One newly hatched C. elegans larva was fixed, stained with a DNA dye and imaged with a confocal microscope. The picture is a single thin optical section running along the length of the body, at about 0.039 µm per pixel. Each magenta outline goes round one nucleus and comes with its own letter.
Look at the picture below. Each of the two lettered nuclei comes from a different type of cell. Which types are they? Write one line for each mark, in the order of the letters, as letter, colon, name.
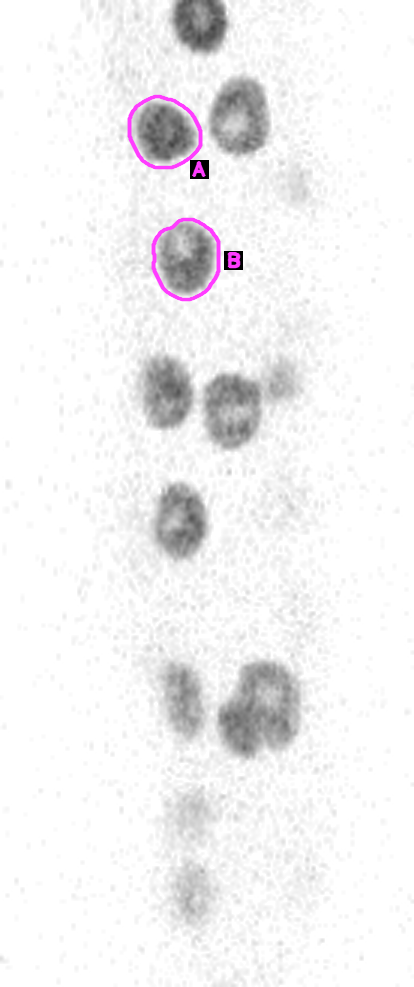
A: P cell (ventral epidermal blast cell)
B: seam cell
